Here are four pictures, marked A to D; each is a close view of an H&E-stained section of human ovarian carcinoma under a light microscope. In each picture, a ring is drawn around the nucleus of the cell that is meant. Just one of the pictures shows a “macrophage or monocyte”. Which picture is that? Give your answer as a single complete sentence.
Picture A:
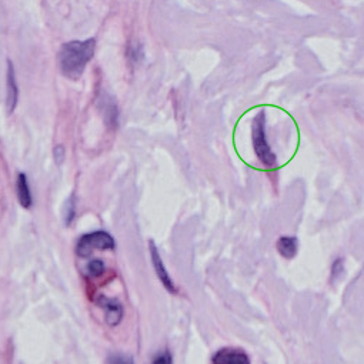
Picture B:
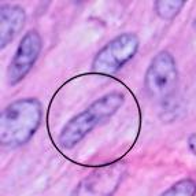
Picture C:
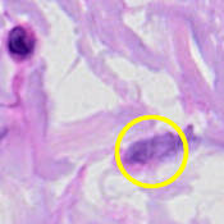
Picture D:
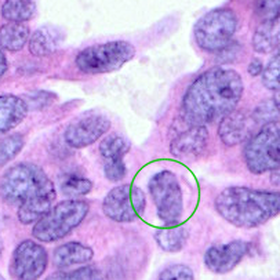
Picture D shows the “macrophage or monocyte”.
